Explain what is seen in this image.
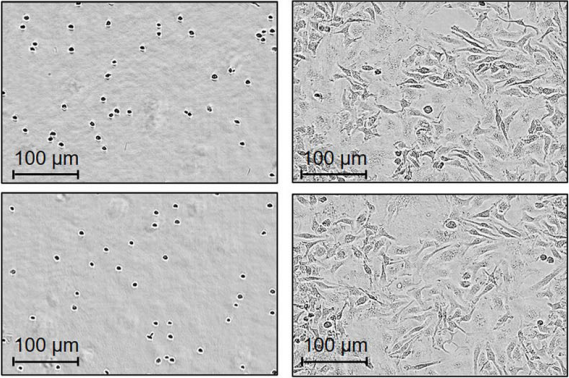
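In the right column, larger cells cover much of the surface. Many of these are flattened and spread, and many are elongated or spindle-shaped with cytoplasmic extensions, while some rounder cells are interspersed among them.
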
